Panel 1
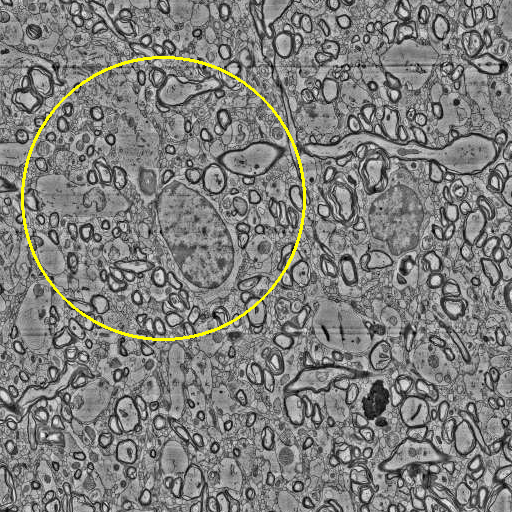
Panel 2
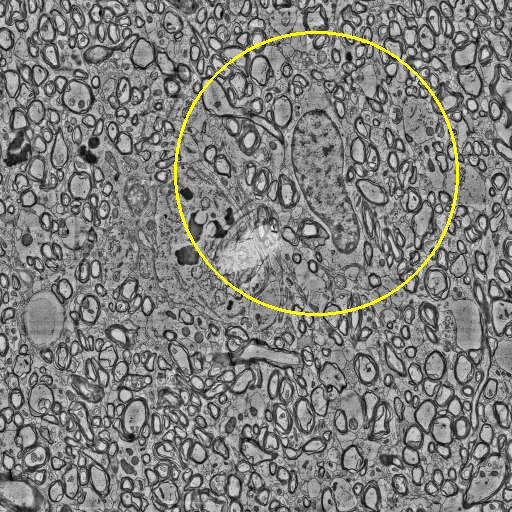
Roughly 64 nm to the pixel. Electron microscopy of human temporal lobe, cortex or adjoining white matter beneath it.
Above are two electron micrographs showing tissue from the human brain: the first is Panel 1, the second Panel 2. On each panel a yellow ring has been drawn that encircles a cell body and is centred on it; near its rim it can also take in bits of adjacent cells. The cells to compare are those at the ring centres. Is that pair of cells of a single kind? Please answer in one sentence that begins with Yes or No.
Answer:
Yes, the ring-centred cells of Panel 1 and Panel 2 belong to one kind.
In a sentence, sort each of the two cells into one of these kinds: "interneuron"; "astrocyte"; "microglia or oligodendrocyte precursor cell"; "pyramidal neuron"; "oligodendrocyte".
Both pictures show a microglial cell or oligodendrocyte precursor cell at the centre of the ring.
